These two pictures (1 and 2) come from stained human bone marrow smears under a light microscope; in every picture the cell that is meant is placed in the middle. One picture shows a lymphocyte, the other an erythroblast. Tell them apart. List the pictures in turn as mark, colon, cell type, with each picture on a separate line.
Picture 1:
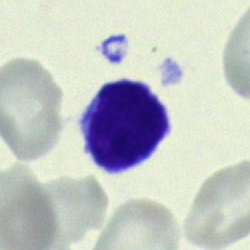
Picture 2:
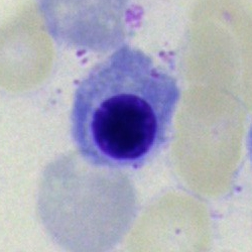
1: lymphocyte
2: erythroblast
